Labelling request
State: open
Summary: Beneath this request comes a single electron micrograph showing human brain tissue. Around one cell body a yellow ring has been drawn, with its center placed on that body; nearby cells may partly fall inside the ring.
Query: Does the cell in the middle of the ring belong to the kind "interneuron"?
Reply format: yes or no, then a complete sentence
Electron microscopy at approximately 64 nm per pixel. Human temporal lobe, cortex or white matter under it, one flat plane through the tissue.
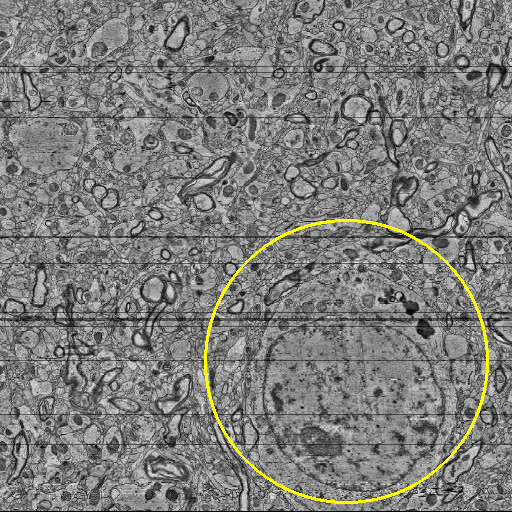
Yes, the cell sitting at the center of the ring in this picture is of that kind.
